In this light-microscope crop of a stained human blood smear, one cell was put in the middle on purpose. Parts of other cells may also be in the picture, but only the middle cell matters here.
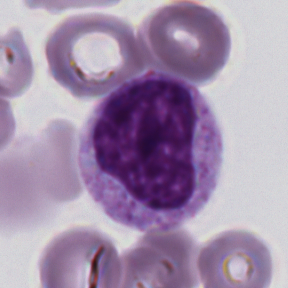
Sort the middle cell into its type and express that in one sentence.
This particular crop is centered on a metamyelocyte.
